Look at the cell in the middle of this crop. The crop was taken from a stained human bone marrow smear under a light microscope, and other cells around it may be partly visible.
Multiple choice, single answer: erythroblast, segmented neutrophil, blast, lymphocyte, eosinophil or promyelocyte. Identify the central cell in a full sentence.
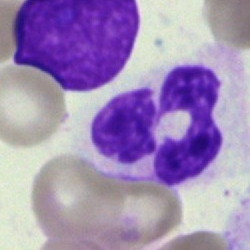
The crop shows a segmented neutrophil in its centre.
